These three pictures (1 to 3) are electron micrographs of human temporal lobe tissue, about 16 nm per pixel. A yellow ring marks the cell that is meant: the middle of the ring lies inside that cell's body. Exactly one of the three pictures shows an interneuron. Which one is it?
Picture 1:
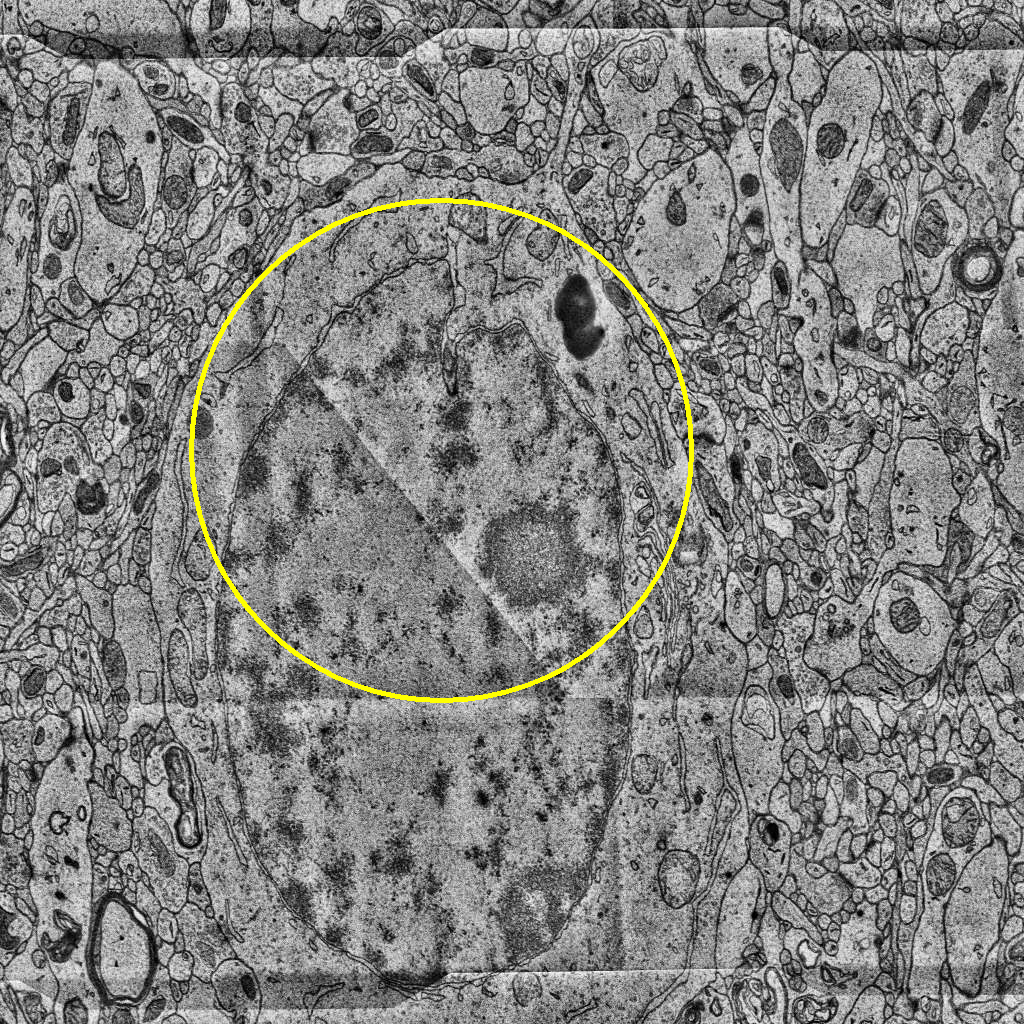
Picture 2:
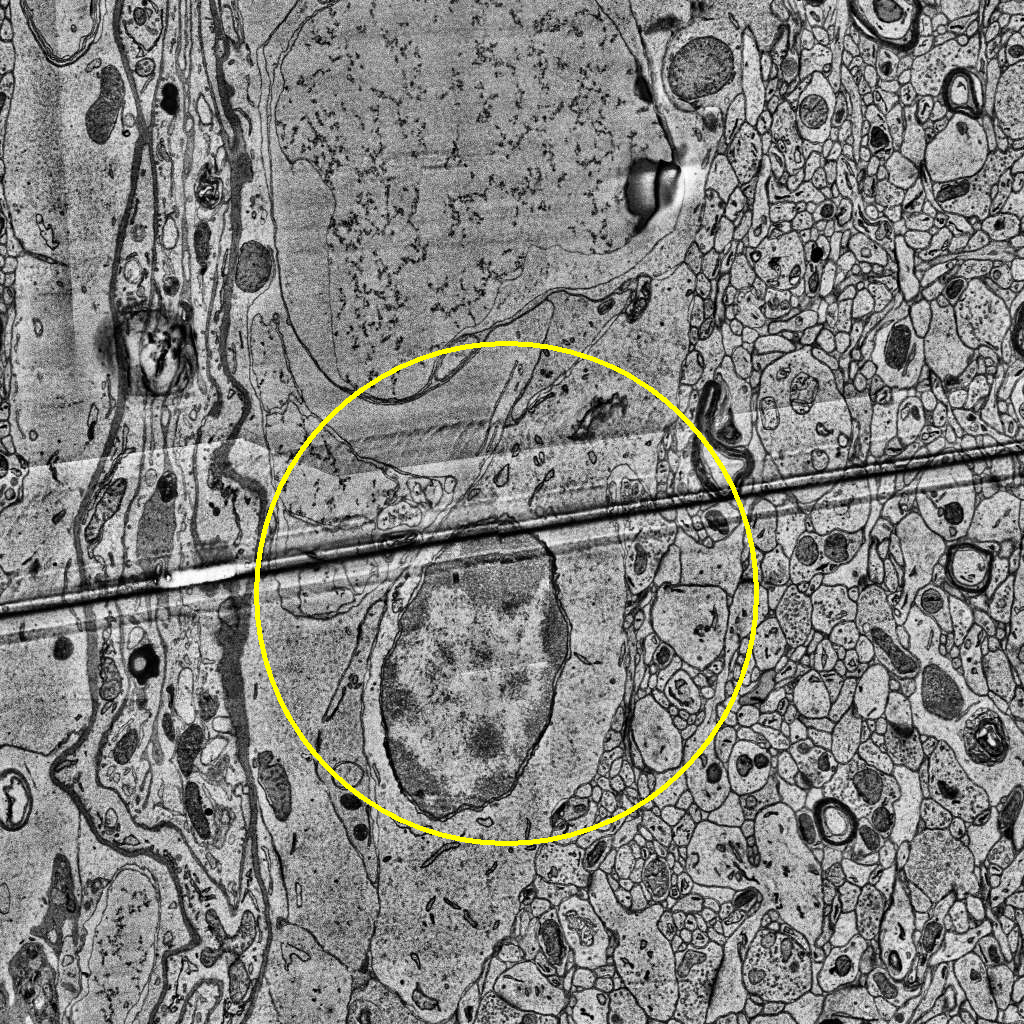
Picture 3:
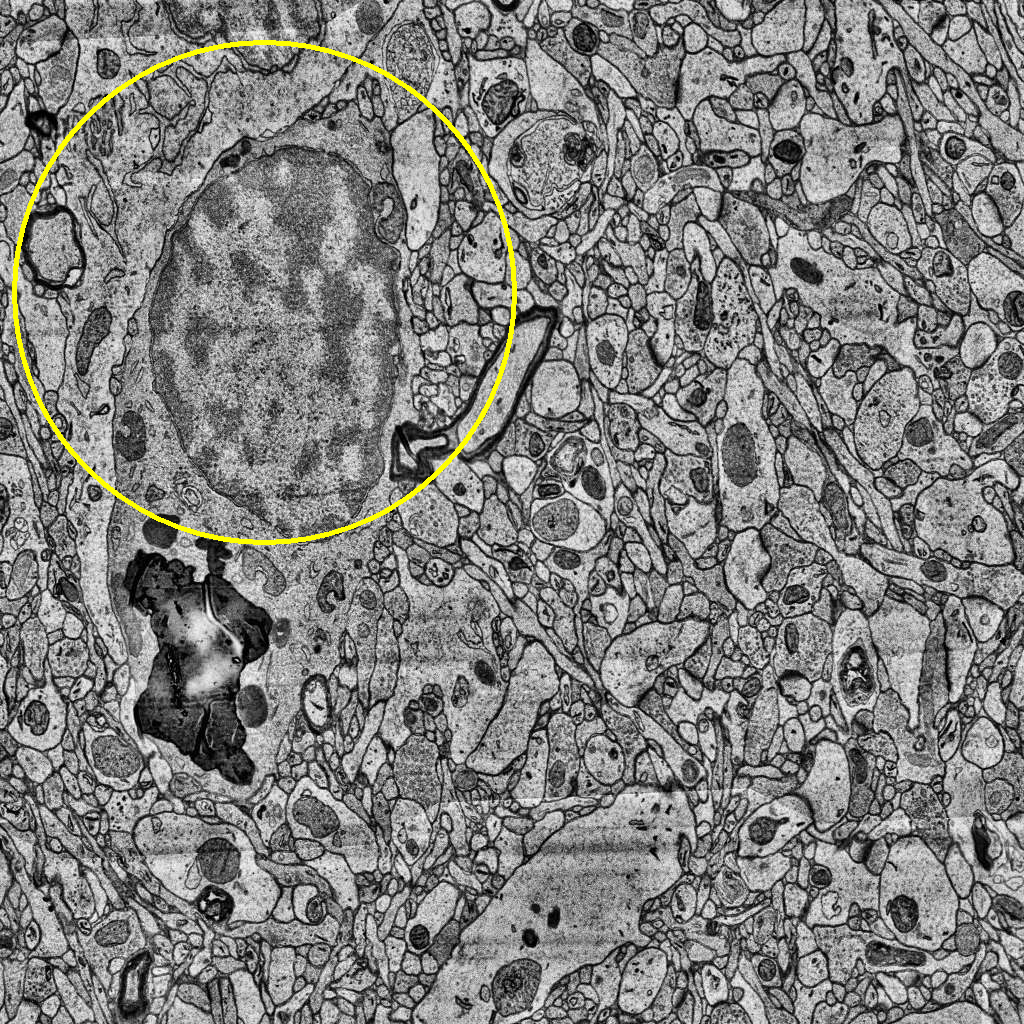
Picture 1 is the one that shows the interneuron.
